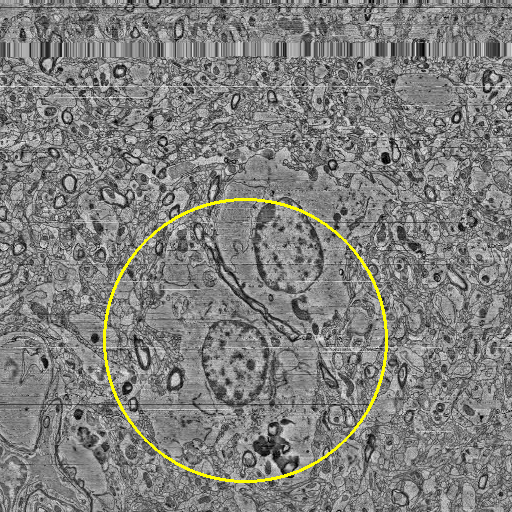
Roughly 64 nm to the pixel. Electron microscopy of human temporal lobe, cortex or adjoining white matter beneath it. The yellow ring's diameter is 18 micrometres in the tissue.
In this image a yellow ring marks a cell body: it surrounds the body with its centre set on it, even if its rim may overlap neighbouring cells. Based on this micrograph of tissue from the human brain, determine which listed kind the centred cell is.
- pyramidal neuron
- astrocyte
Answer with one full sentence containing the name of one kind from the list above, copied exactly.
It is an astrocyte whose body the yellow ring encloses at its centre.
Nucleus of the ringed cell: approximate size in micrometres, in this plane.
About 6 by 4 micrometers for the nucleus, in this plane.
